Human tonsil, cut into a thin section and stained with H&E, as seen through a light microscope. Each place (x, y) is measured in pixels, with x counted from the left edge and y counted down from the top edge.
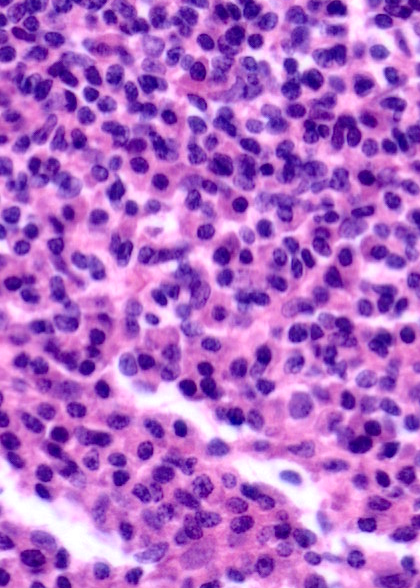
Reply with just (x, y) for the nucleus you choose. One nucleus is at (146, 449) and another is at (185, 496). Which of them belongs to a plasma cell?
(146, 449)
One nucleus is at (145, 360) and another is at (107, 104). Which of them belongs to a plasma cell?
(145, 360)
